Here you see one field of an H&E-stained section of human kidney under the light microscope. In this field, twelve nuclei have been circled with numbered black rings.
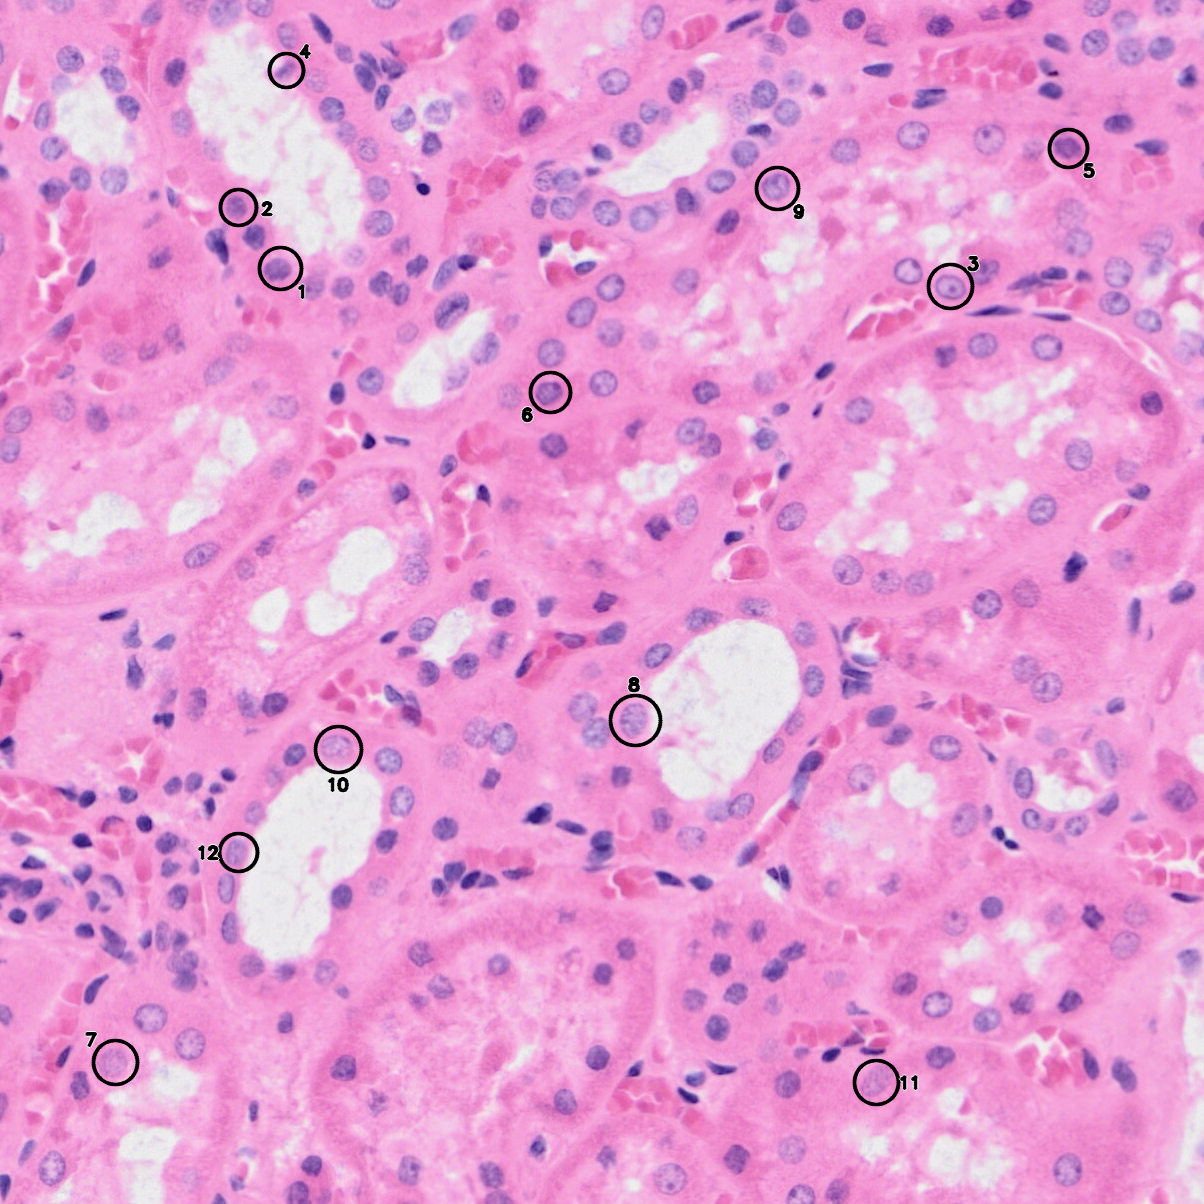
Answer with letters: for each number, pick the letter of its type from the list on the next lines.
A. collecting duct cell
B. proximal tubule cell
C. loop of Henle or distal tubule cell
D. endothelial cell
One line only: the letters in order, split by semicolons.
C; C; B; C; B; B; B; C; B; C; B; C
